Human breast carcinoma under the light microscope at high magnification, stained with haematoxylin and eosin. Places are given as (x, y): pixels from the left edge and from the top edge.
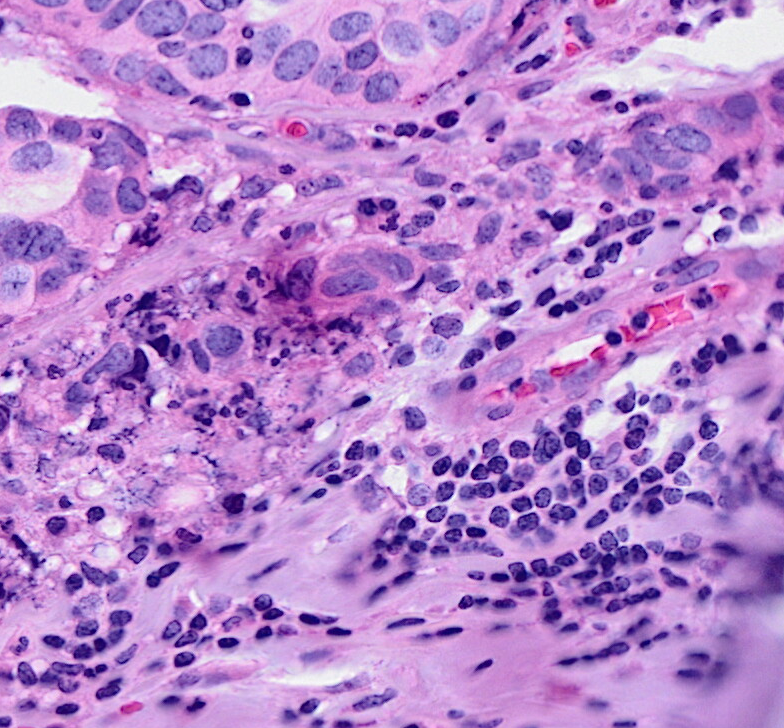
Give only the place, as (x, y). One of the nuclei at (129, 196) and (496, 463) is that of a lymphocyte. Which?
(496, 463)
